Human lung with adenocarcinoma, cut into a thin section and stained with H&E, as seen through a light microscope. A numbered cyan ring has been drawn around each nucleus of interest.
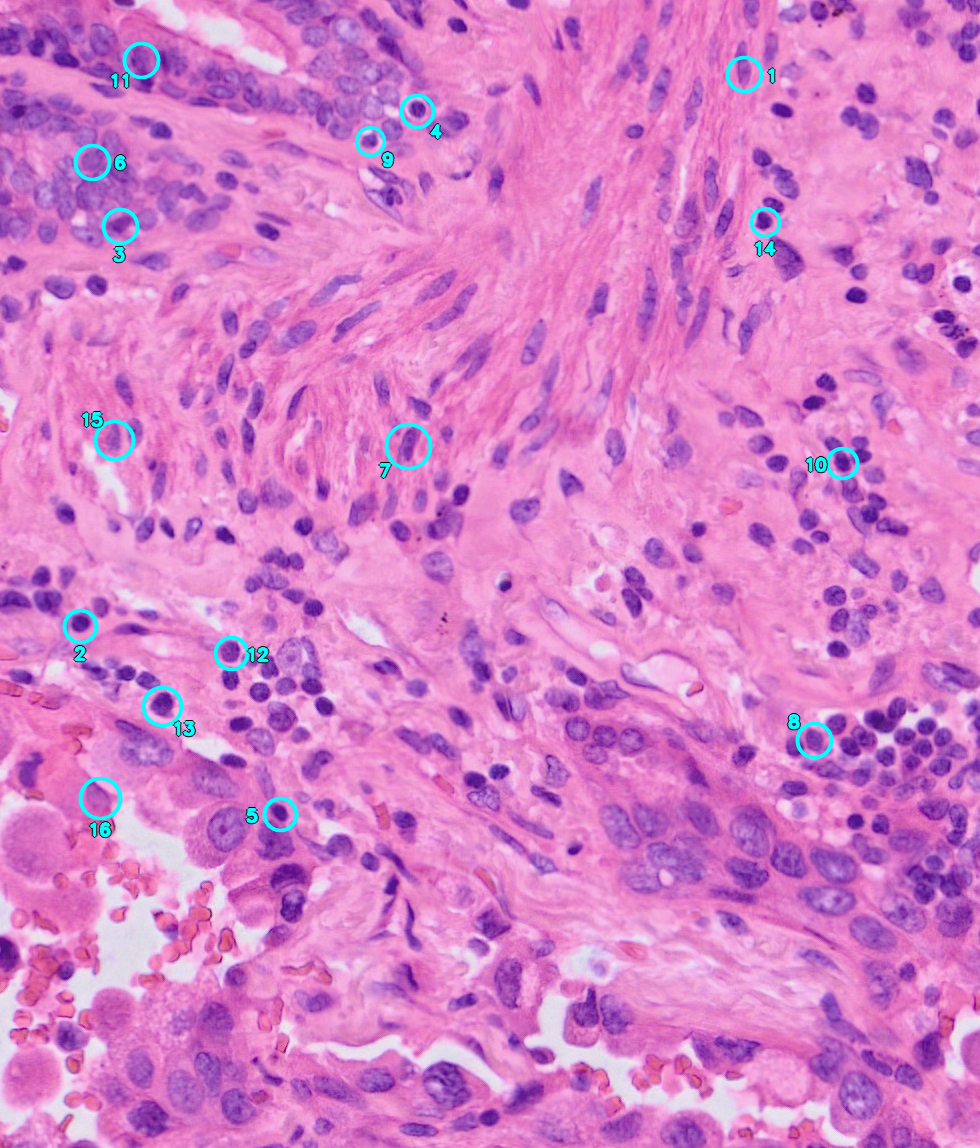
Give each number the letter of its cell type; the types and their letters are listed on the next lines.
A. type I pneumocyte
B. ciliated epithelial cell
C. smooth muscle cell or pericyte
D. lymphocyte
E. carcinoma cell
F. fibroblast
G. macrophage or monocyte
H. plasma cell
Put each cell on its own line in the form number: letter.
1: C
2: D
3: B
4: D
5: D
6: B
7: C
8: D
9: D
10: D
11: B
12: D
13: D
14: D
15: C
16: G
